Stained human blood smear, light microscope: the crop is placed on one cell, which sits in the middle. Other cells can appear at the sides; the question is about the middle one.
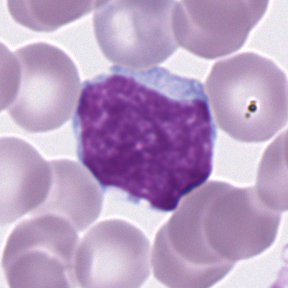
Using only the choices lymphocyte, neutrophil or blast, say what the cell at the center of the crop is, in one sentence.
To answer, the cell in the center of the crop is a lymphocyte.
